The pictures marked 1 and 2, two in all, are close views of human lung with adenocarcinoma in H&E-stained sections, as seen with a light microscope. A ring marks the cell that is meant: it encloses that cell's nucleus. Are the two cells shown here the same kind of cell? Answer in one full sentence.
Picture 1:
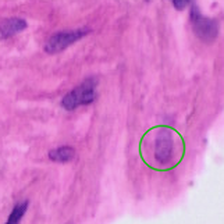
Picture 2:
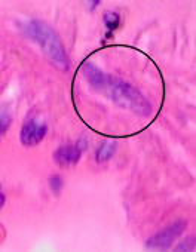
Yes, they are the same type: both are “smooth muscle cells or pericytes”.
